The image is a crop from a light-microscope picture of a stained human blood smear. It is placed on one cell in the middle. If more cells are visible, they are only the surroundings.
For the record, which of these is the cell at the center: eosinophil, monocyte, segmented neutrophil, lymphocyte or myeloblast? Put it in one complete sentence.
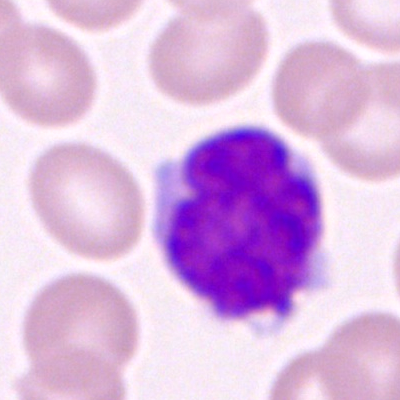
The cell nearest the centre of this crop is a lymphocyte.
